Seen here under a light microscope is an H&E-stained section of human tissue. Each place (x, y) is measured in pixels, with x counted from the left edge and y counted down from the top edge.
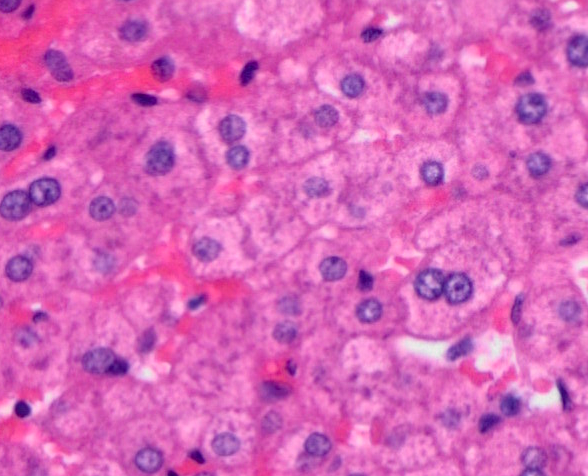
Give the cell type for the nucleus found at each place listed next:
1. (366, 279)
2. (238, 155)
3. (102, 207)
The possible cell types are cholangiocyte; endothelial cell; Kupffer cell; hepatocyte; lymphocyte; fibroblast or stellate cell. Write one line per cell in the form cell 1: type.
cell 1: fibroblast or stellate cell
cell 2: hepatocyte
cell 3: hepatocyte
